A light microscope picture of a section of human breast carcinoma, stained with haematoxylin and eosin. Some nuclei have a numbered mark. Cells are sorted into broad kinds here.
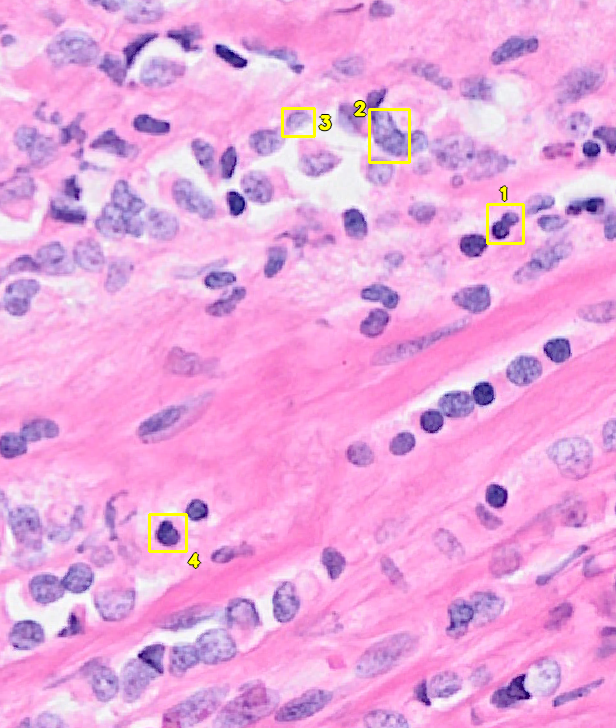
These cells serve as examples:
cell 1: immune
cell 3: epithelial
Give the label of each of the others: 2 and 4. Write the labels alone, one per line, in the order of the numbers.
epithelial
immune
